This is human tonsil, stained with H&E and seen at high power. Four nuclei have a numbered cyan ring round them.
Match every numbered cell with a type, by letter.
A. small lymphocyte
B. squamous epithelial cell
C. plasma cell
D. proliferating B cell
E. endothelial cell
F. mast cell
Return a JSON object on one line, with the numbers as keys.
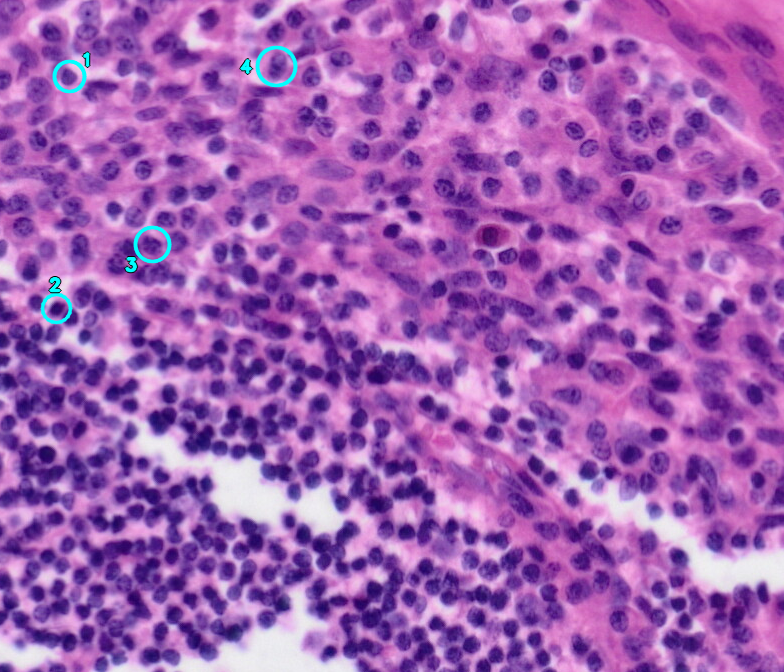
{"1": "B", "2": "A", "3": "C", "4": "C"}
